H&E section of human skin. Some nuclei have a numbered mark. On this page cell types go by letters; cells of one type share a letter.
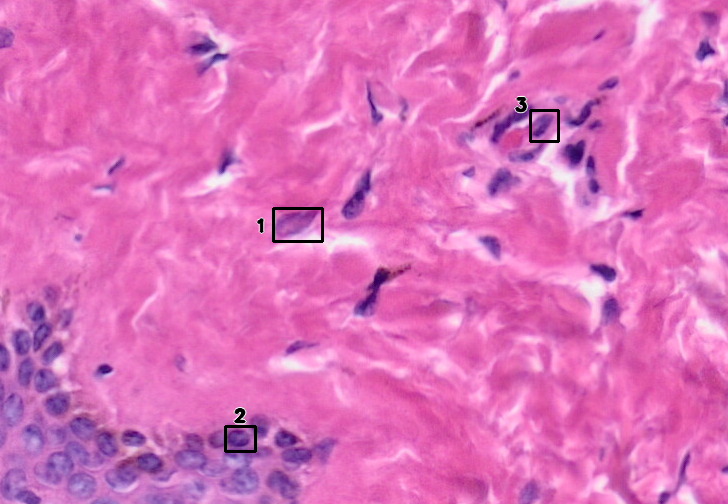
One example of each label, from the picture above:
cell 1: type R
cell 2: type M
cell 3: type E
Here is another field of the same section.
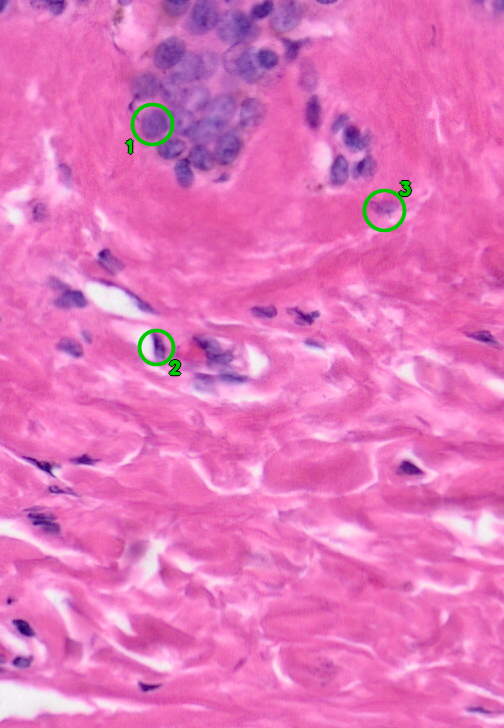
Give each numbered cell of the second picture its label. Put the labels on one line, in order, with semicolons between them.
type M; type R; type R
